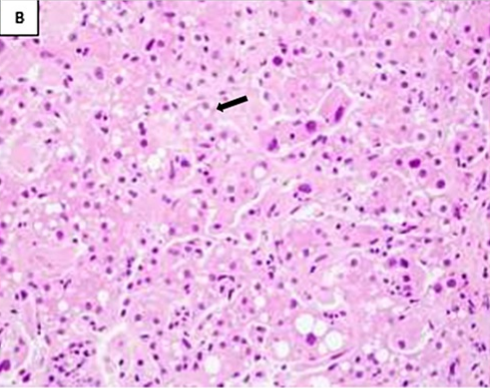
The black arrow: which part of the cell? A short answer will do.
Intracytoplasmic vacuoles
